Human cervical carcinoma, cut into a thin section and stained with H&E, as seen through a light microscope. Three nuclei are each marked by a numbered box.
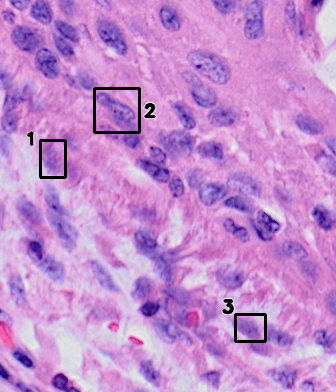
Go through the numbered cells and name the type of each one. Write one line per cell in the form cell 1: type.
cell 1: fibroblast
cell 2: squamous carcinoma cell
cell 3: fibroblast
